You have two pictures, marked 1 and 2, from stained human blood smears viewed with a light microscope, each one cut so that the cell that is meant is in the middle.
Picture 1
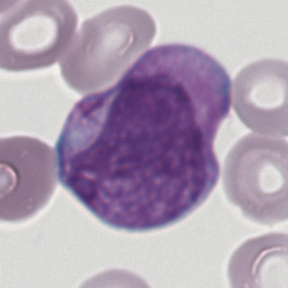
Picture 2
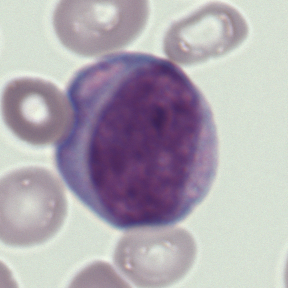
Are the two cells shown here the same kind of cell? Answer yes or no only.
yes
